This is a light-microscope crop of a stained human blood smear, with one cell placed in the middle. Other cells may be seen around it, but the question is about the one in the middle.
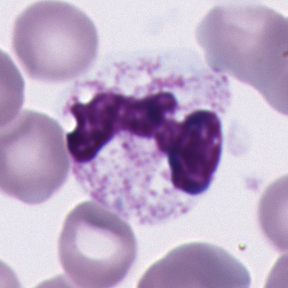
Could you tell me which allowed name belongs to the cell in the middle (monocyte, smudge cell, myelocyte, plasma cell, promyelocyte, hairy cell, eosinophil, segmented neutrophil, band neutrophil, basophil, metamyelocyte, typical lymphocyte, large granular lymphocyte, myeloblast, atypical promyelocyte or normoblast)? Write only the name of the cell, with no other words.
segmented neutrophil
